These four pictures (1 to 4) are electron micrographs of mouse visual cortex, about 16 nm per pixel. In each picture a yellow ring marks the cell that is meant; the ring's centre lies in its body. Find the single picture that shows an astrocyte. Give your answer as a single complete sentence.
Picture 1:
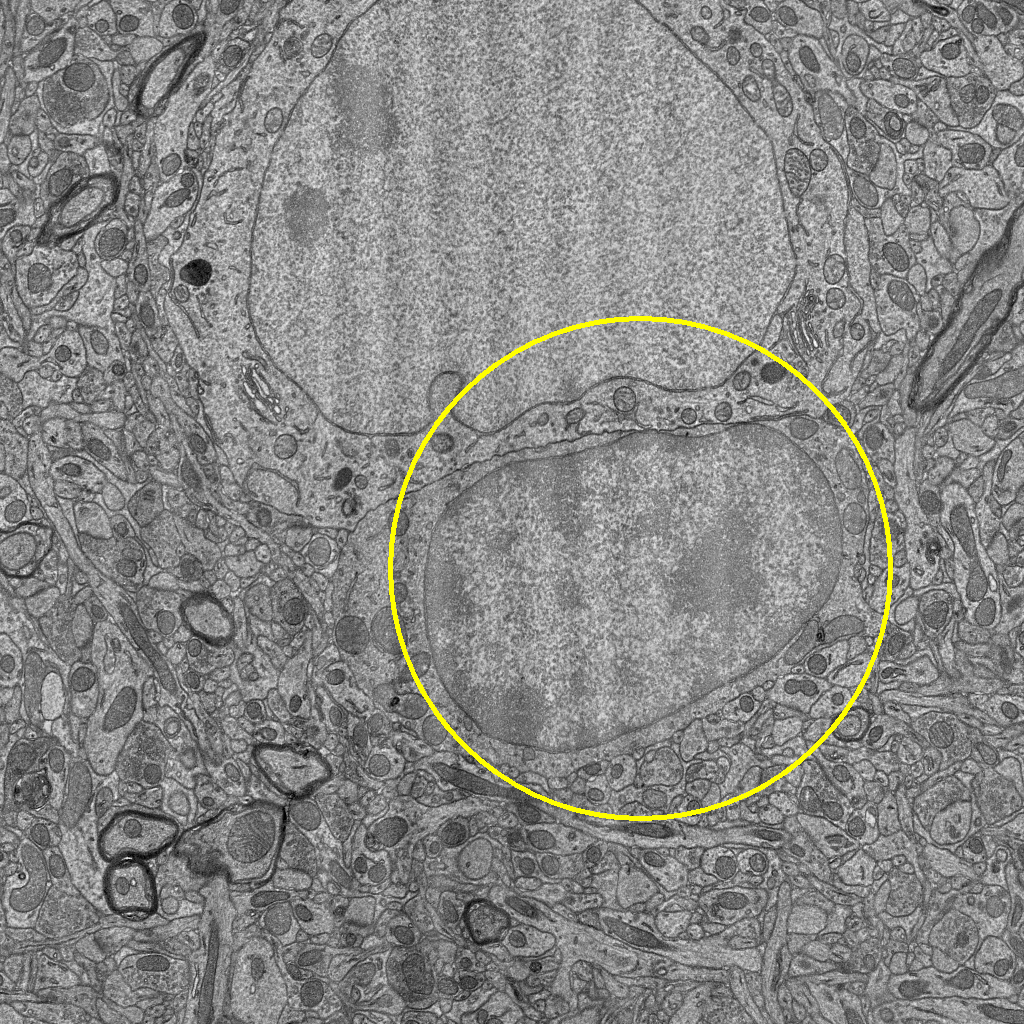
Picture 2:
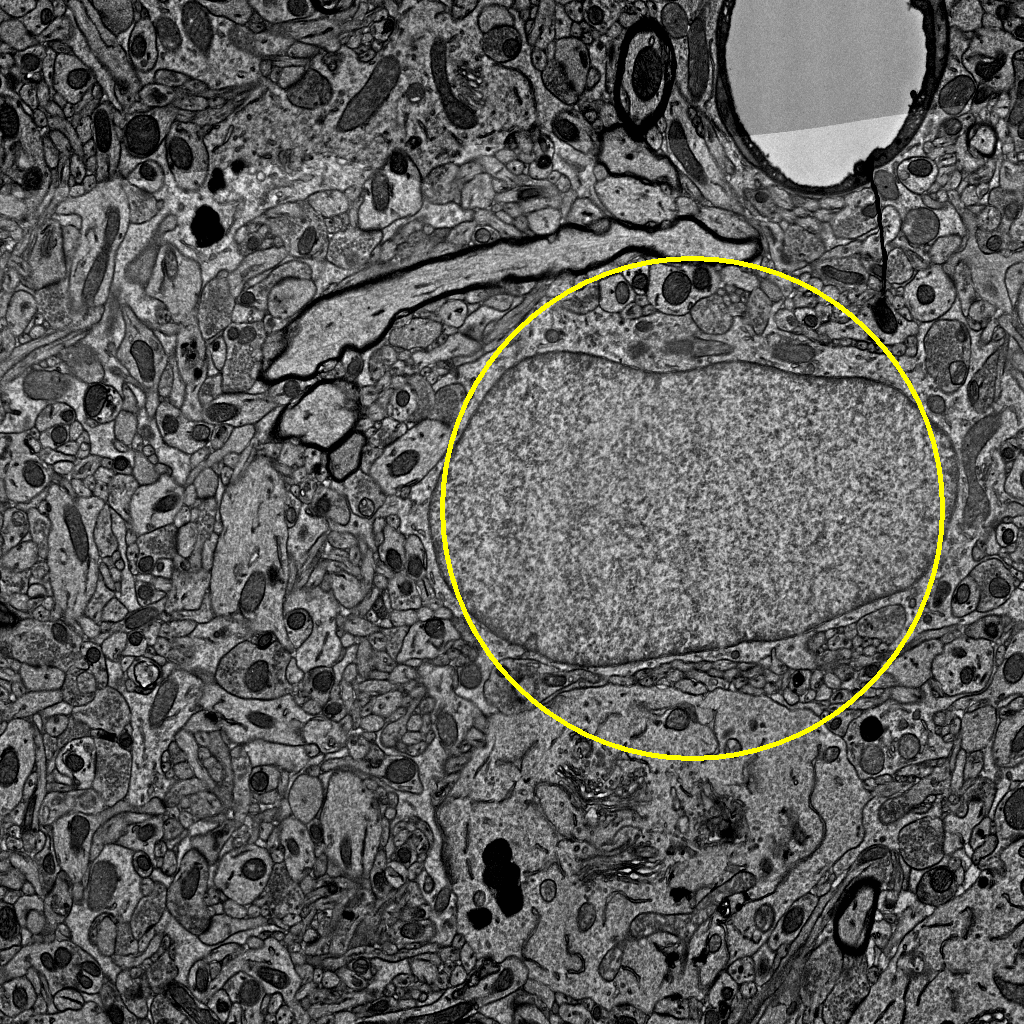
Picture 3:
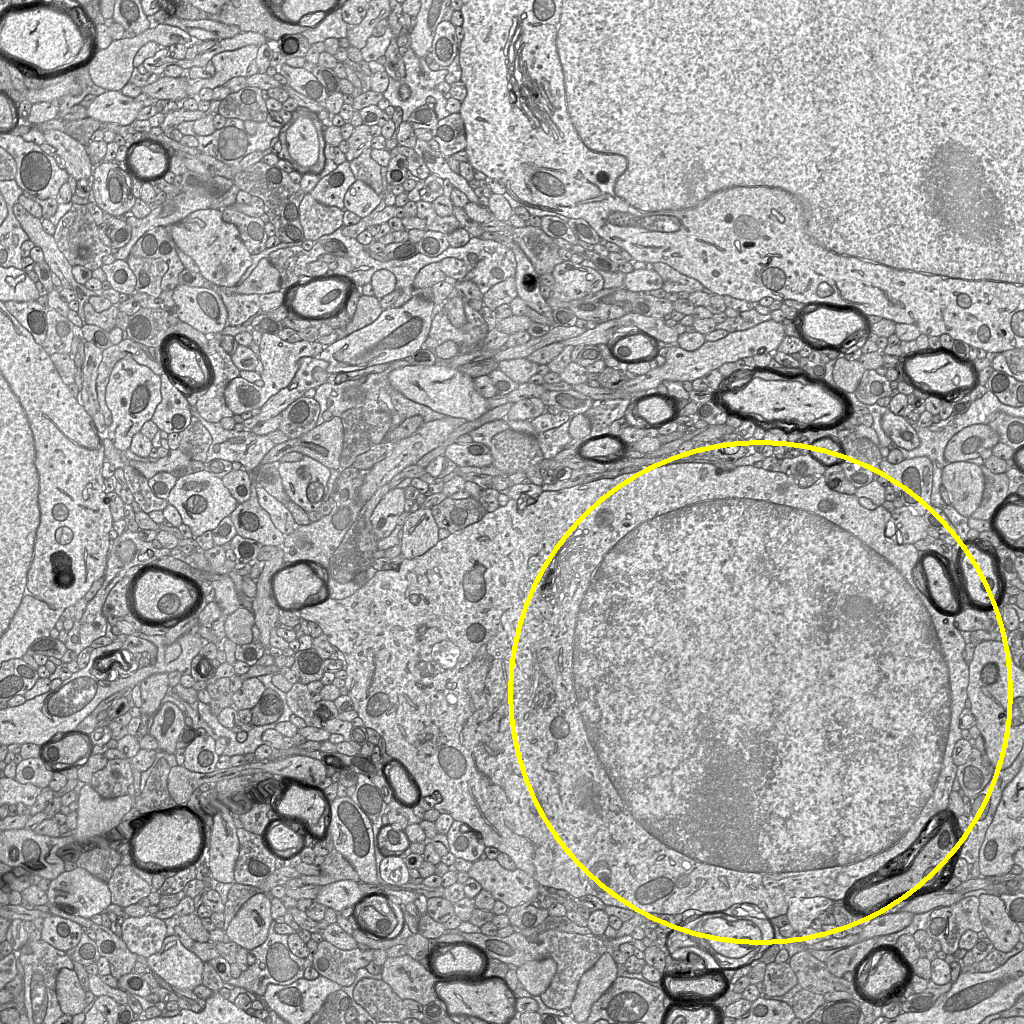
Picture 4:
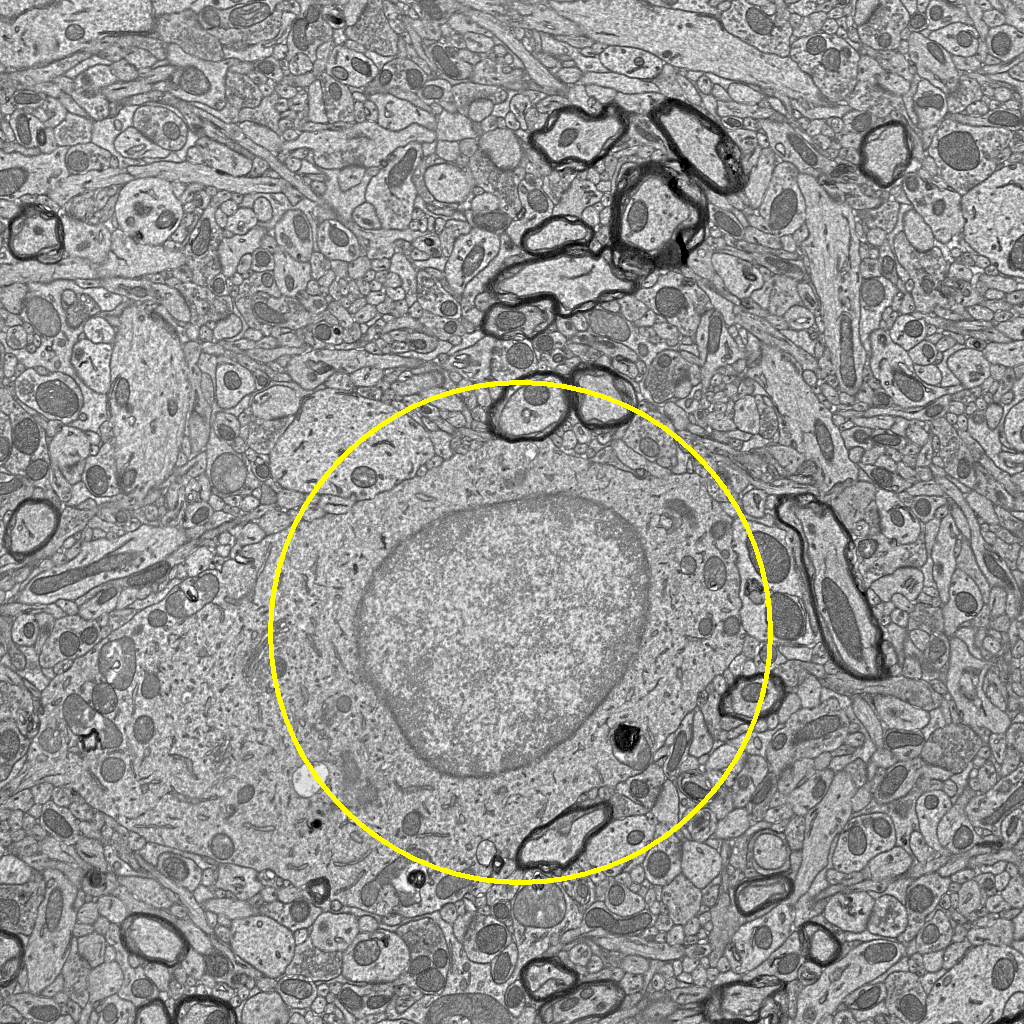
Picture 2 is the one that shows the astrocyte.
